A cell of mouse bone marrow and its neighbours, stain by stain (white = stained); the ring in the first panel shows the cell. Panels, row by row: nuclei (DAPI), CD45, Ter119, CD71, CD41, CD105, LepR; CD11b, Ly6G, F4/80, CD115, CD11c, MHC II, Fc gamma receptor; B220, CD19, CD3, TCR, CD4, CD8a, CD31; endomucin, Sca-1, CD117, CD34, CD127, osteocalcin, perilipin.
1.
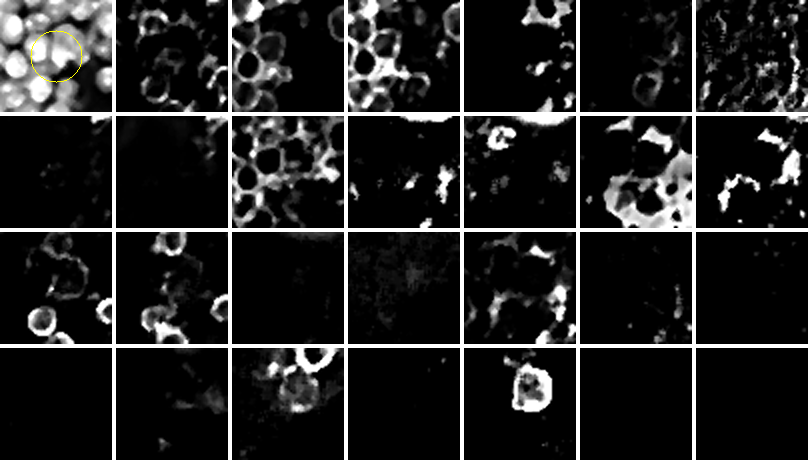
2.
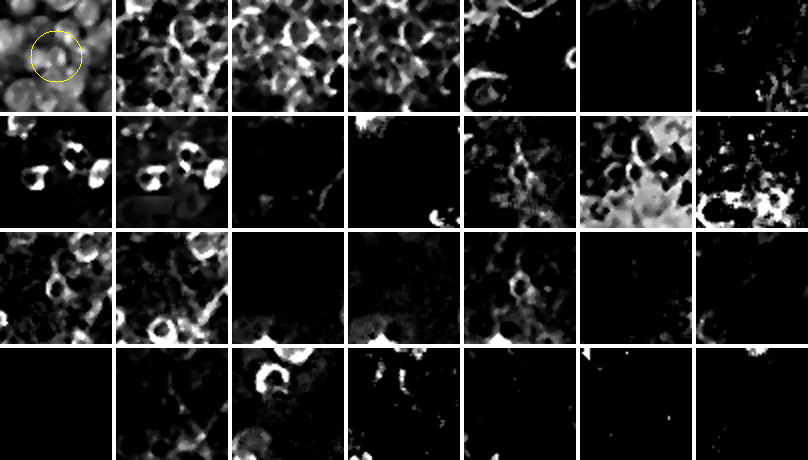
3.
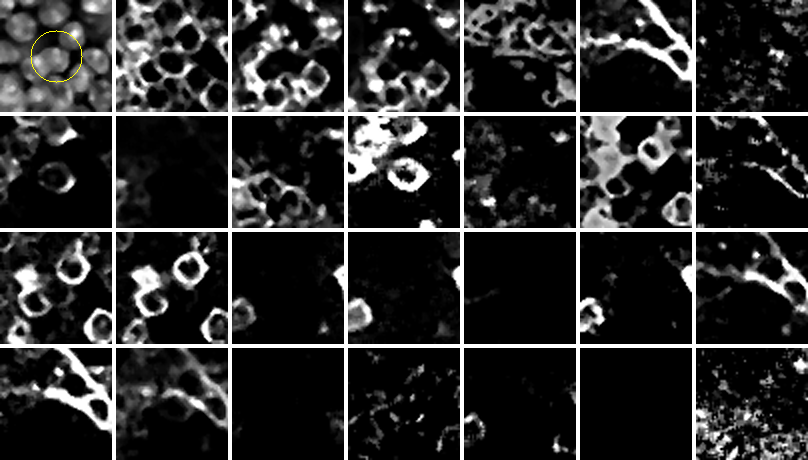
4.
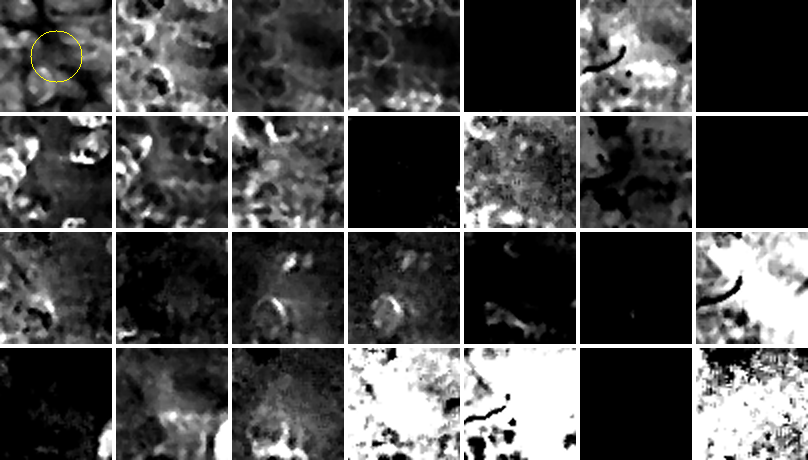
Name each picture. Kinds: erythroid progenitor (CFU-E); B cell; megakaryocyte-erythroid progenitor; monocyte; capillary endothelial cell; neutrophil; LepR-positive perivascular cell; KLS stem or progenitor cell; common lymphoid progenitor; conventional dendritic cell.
1: erythroid progenitor (CFU-E)
2: conventional dendritic cell
3: capillary endothelial cell
4: erythroid progenitor (CFU-E)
